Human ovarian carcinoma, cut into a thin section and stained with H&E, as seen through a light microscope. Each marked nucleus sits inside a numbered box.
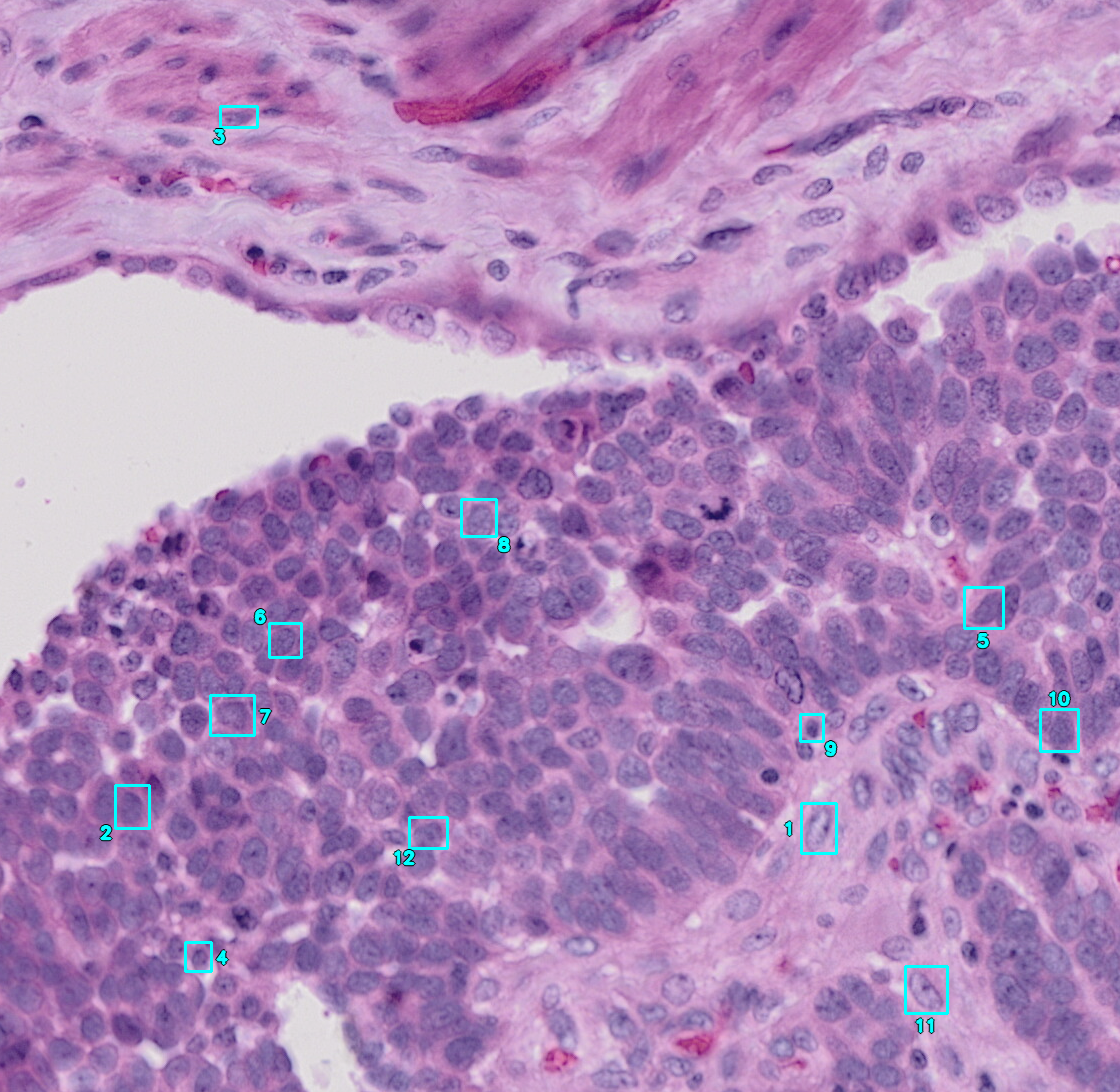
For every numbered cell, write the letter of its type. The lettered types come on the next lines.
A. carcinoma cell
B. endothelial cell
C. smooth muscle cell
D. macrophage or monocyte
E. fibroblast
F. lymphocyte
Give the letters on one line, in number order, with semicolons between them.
E; A; C; D; A; A; A; A; F; A; E; A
